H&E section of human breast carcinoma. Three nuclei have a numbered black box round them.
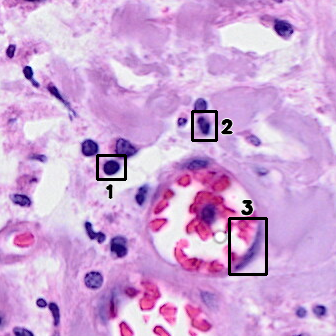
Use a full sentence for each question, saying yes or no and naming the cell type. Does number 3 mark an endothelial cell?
Yes, number 3 is assigned to a cell that is an endothelial cell.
